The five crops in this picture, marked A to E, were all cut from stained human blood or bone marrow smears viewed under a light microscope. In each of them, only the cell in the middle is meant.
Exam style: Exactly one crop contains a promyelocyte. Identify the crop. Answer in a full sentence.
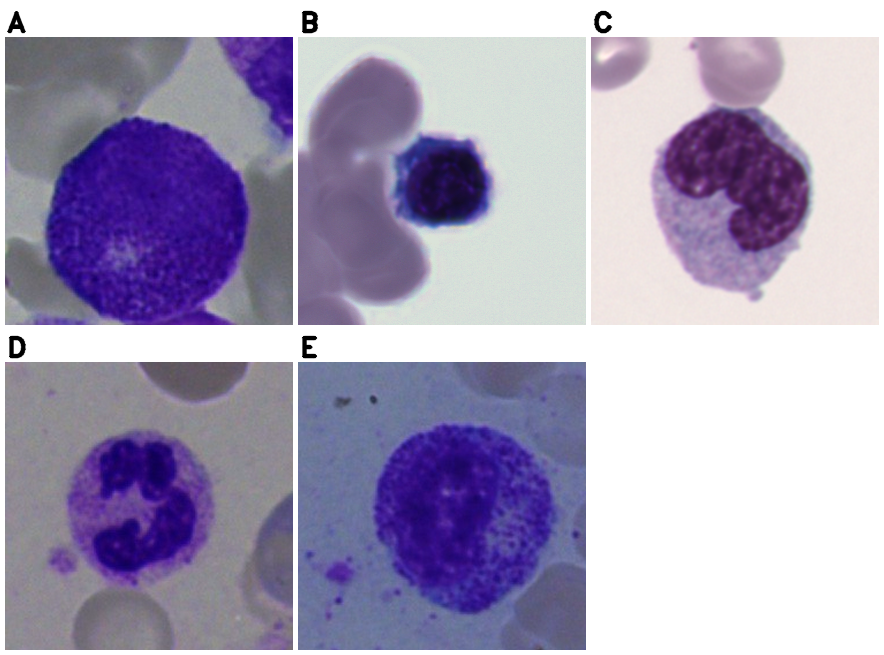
Selected crop: A, which is the one that shows a promyelocyte.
